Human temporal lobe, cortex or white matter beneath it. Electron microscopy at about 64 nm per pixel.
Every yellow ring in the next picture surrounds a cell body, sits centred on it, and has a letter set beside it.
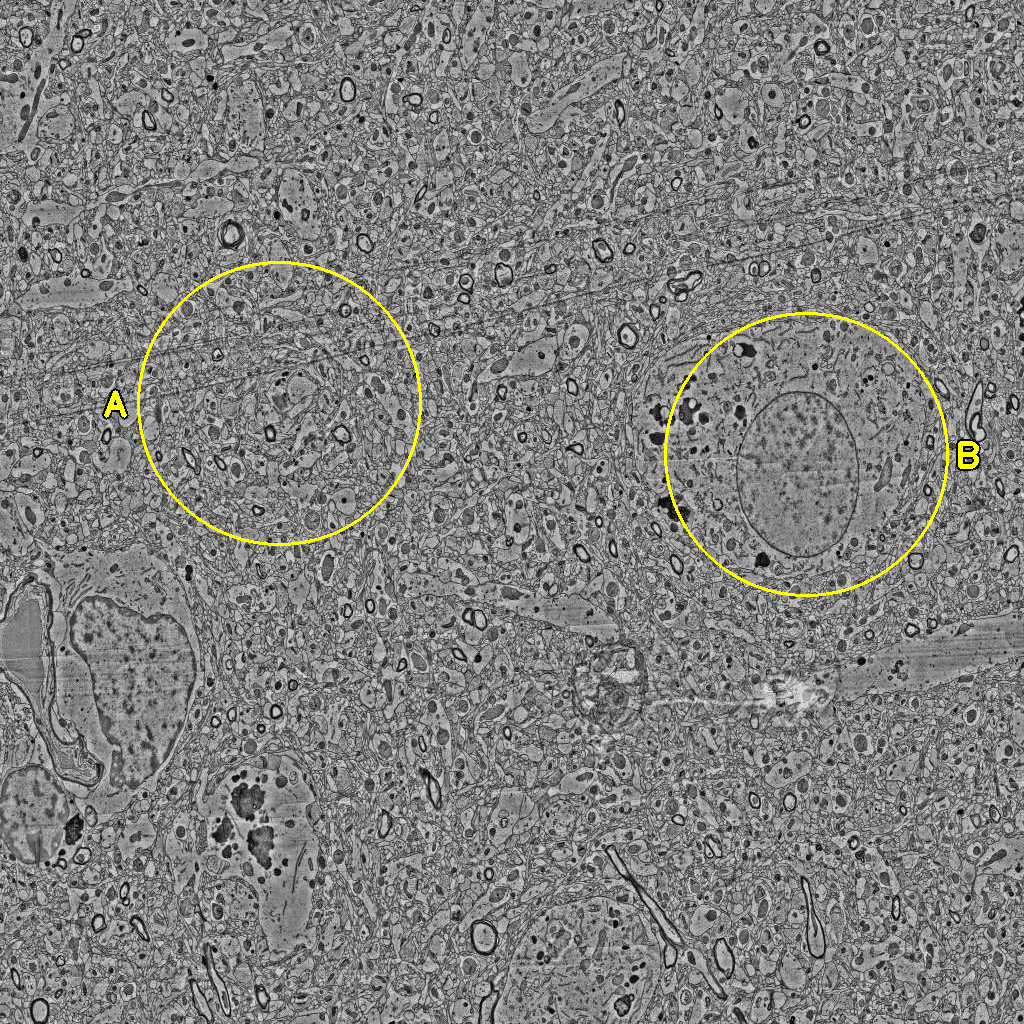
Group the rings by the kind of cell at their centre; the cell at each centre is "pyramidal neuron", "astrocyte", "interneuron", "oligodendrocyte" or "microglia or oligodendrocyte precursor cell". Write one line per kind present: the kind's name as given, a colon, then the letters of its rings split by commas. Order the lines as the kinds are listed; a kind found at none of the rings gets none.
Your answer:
pyramidal neuron: B
microglia or oligodendrocyte precursor cell: A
